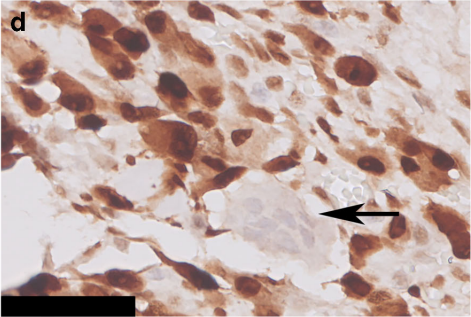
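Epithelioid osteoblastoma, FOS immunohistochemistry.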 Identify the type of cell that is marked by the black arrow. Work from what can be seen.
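The arrow points to a large cell with many nuclei. Its nuclei are pale blue, unlike the brown nuclei around it.
Hence: Osteoclasts-like giant cells.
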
